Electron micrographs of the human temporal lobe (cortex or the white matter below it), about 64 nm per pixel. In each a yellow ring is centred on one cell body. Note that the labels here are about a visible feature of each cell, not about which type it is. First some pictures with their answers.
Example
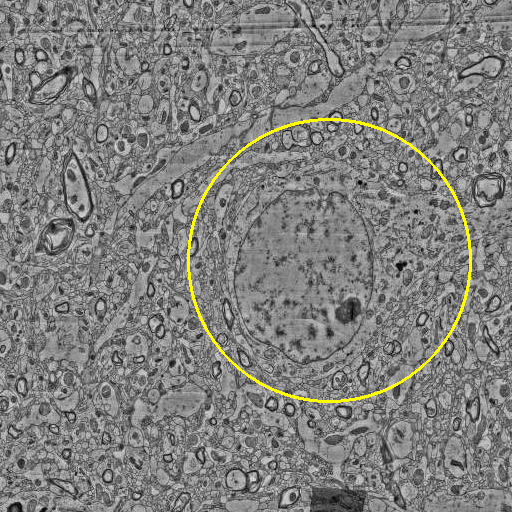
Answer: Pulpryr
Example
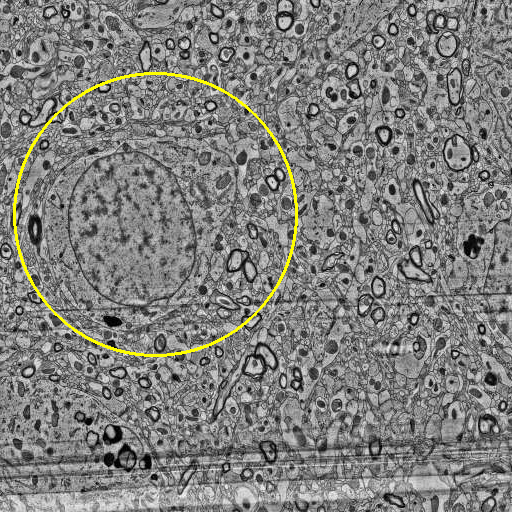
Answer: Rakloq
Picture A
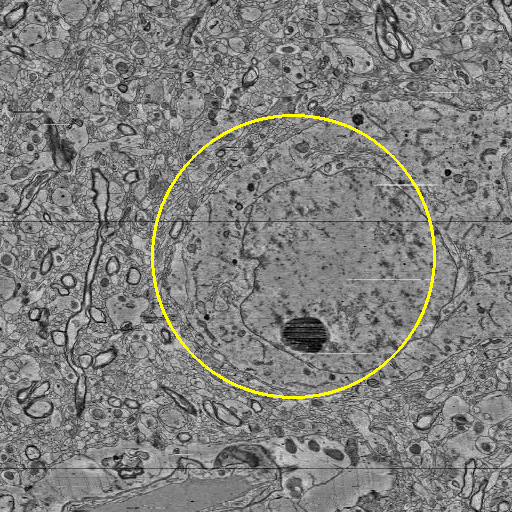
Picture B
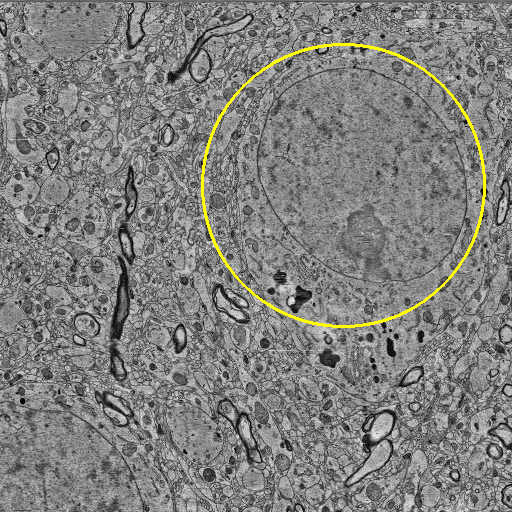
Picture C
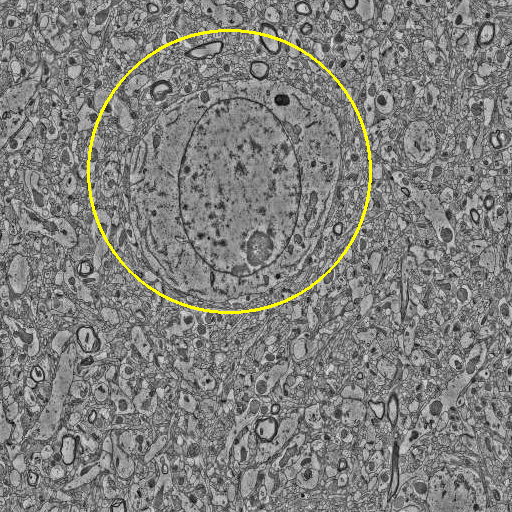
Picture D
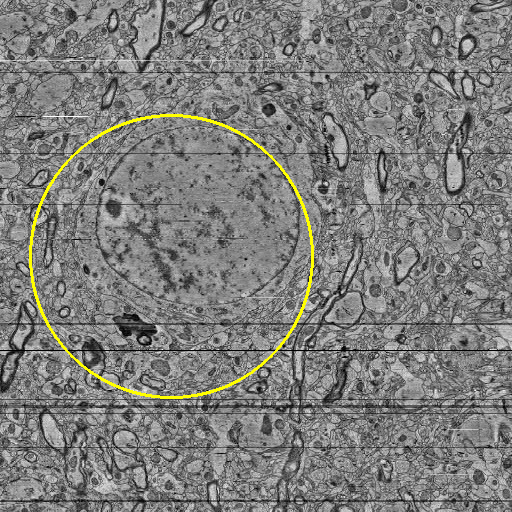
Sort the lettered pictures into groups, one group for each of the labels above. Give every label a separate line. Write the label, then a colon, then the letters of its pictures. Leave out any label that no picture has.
Pulpryr: A, B, C, D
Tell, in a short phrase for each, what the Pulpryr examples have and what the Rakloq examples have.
Pulpryr: nucleolus seen; Rakloq: no nucleolus seen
